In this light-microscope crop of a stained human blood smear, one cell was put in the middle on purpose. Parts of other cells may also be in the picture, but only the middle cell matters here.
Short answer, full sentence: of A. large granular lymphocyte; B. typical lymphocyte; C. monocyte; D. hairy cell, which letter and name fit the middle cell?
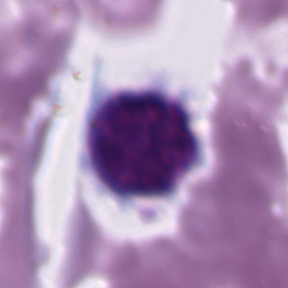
That the central cell is a hairy cell makes option D correct.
